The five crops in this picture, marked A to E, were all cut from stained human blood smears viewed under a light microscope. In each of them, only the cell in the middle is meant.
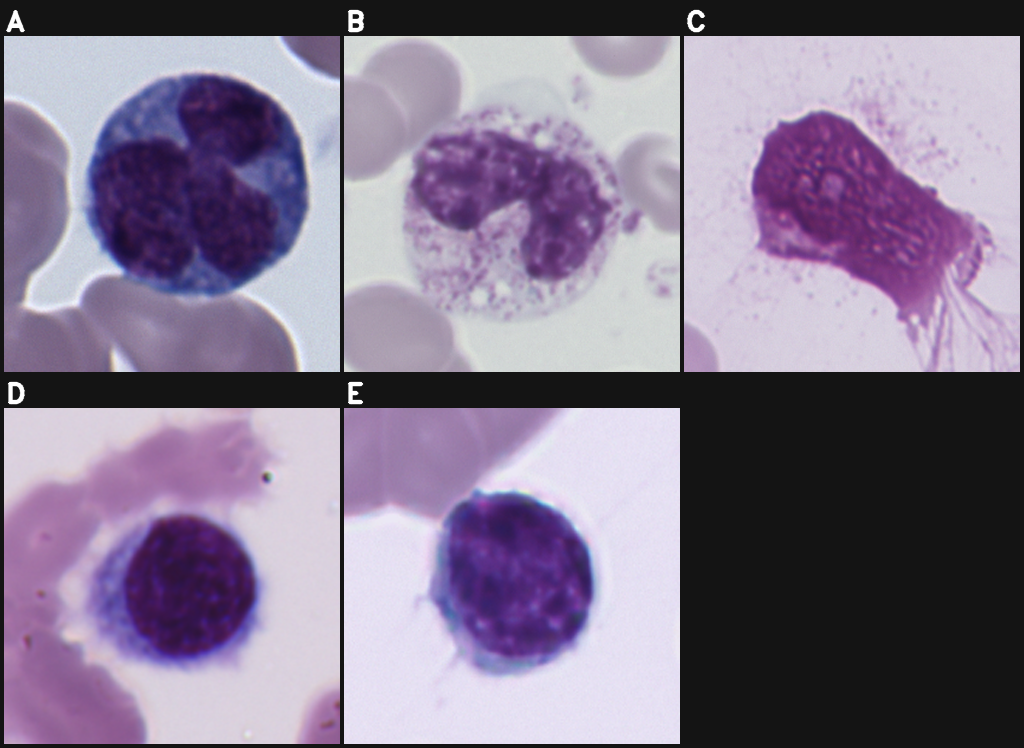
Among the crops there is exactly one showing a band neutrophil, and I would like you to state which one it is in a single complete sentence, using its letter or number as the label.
The crop marked B is the one that shows a band neutrophil.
